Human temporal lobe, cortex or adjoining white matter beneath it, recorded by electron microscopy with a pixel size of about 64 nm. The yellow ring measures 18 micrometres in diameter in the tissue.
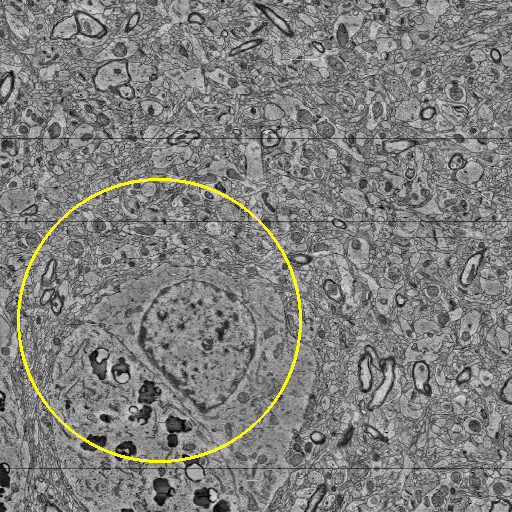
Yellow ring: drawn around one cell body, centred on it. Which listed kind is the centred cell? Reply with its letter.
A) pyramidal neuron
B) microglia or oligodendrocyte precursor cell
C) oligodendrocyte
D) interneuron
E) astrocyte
B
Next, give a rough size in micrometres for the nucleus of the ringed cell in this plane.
The ringed cell's nucleus is about 9 micrometres long and 7 micrometres wide in this plane.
